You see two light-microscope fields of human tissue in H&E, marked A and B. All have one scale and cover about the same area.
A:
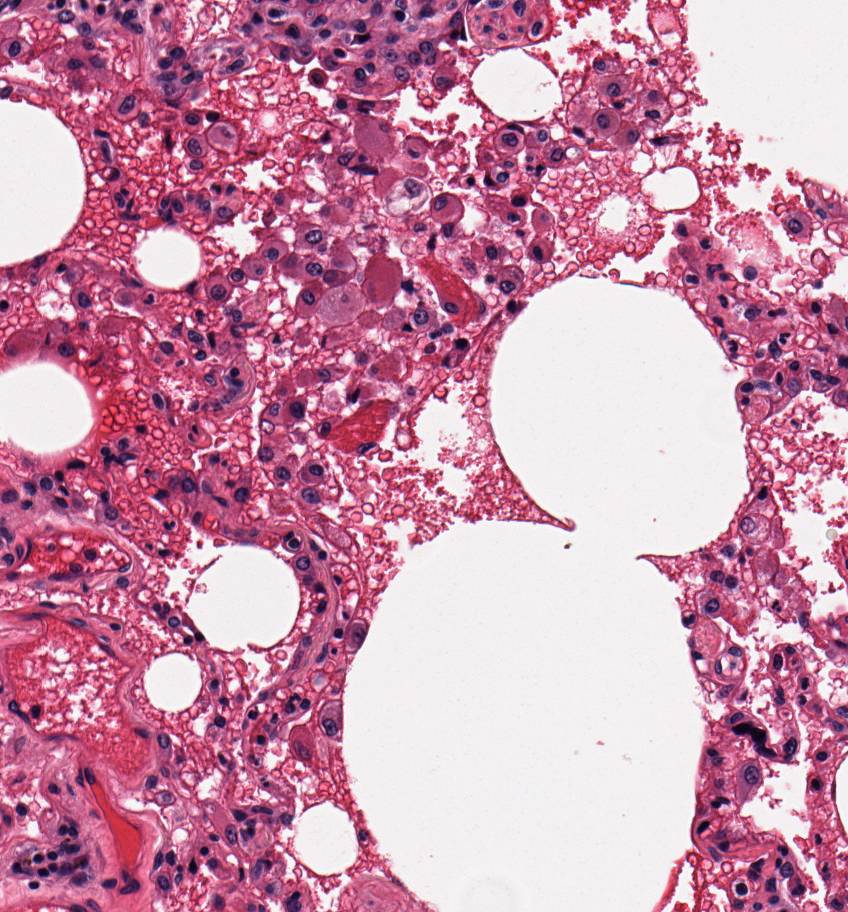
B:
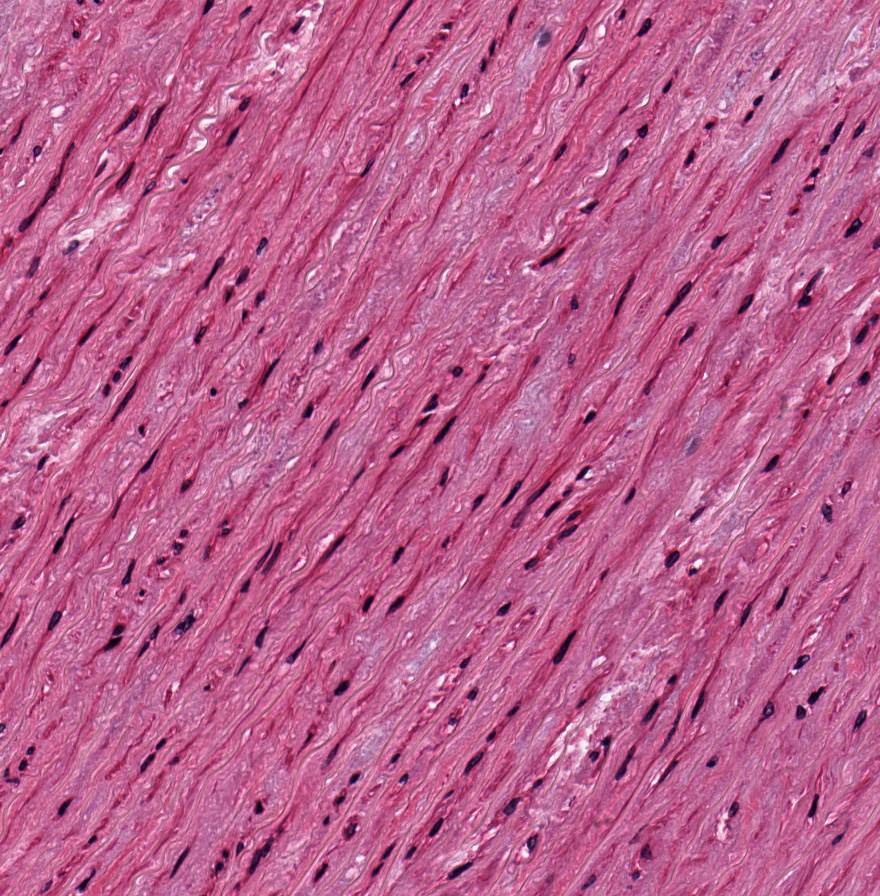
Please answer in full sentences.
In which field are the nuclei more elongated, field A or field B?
Longer, more slender nuclei lie in field B.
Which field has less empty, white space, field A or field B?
It is field B that stained tissue fills more completely.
